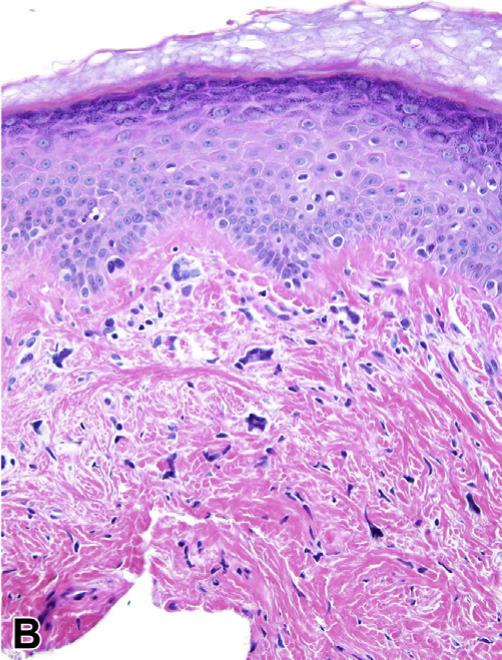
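Skin is shown with an intact stratified epidermis capped by a loose, layered pink horny layer, and beneath it a dermis of thick, densely packed pink collagen bundles. Scattered through this collagen lie dermal fibroblasts with dark purple, angular nuclei, several of them enlarged and star-shaped, each set singly among the coarse fibres.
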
